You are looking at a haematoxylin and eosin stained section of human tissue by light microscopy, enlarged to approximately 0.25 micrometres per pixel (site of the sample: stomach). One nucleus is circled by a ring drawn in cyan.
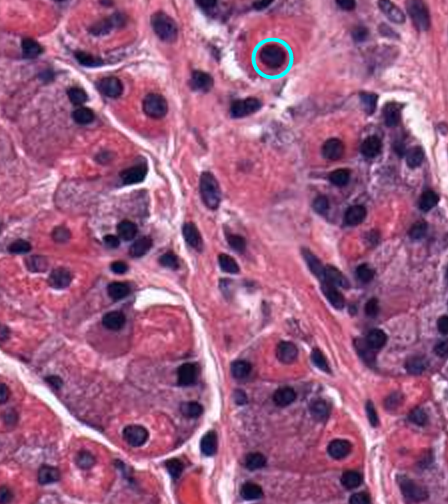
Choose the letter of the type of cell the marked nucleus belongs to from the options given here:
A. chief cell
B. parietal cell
B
